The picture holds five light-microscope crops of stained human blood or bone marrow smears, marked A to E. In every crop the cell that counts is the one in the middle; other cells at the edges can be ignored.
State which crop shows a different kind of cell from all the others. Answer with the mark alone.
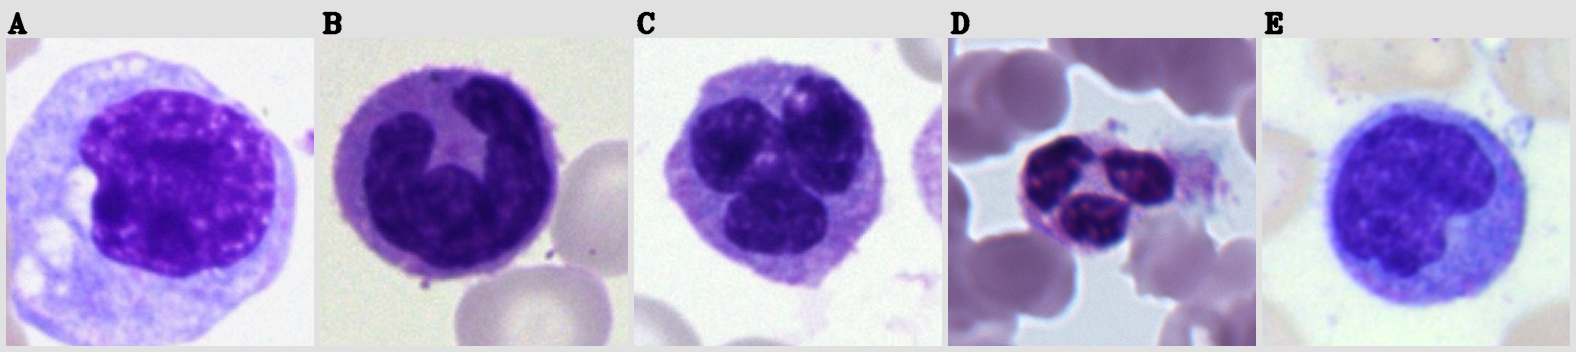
D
